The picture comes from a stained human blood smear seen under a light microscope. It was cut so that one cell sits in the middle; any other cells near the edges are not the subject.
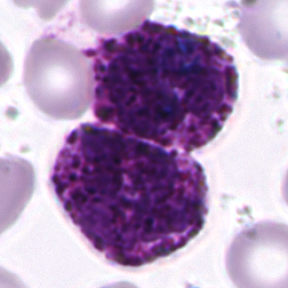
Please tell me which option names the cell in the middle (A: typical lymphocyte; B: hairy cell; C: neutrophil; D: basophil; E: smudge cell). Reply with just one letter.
D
